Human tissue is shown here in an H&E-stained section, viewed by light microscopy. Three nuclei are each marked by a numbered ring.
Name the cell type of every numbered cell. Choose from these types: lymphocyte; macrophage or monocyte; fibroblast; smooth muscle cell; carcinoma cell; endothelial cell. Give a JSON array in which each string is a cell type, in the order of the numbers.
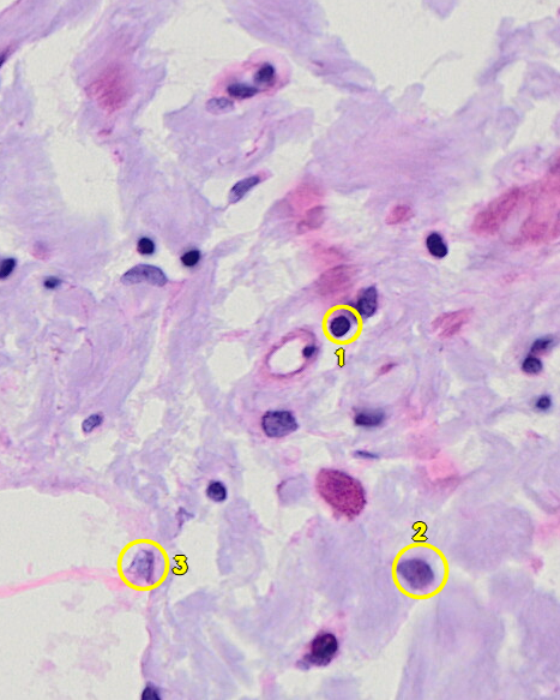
["lymphocyte", "fibroblast", "endothelial cell"]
